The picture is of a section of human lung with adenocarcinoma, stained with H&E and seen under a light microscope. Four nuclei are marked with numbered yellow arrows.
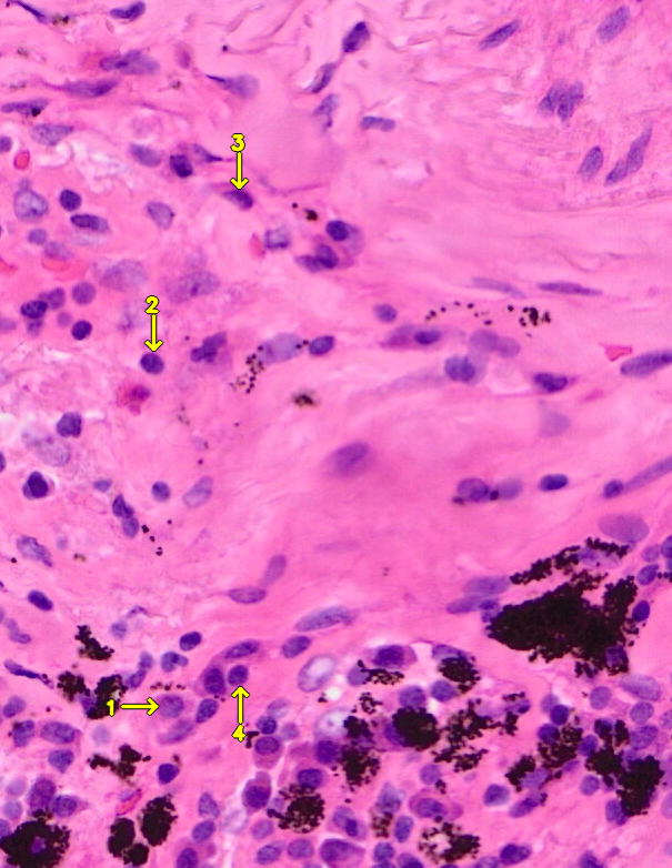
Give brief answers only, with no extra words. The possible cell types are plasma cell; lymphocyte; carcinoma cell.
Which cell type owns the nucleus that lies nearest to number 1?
plasma cell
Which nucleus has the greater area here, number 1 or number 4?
1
